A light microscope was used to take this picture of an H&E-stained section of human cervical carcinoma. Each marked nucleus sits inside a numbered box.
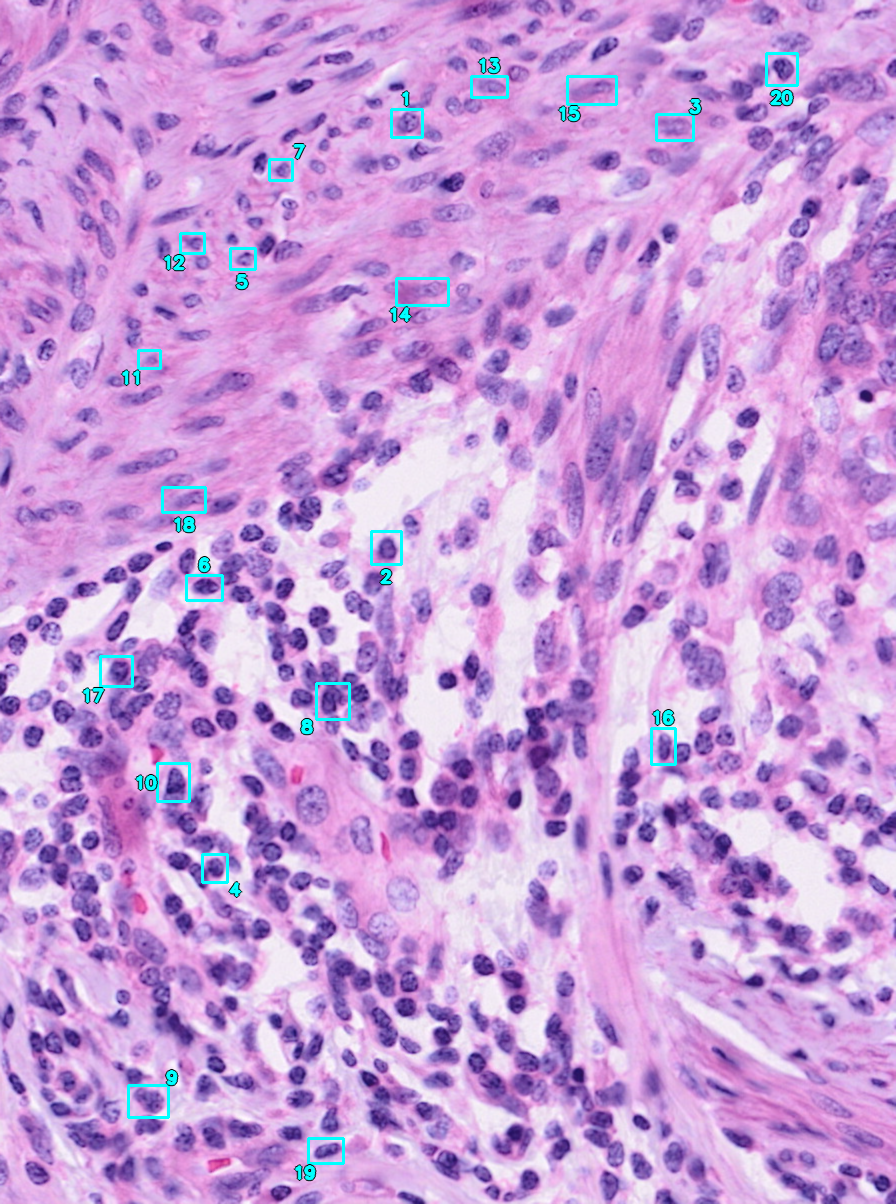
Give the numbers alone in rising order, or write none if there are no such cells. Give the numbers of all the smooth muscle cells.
1, 3, 5, 7, 11, 12, 13, 14, 15, 18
